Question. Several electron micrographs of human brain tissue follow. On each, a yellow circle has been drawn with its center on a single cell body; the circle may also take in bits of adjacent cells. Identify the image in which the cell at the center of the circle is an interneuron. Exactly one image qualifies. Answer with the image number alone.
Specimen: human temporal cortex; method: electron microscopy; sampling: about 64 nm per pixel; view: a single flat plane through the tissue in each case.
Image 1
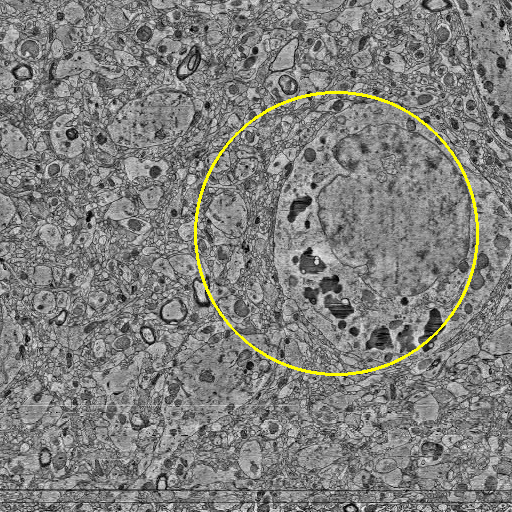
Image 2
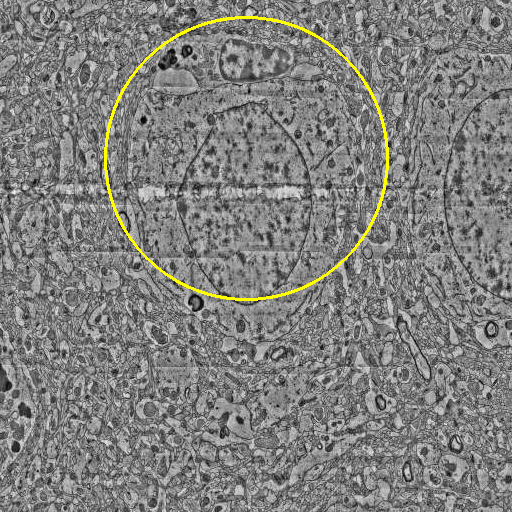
1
